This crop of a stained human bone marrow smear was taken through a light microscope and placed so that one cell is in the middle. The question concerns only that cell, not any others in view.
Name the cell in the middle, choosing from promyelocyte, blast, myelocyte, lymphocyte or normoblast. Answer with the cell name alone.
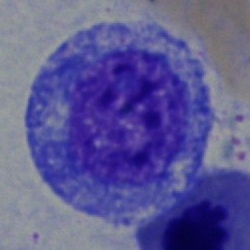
promyelocyte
